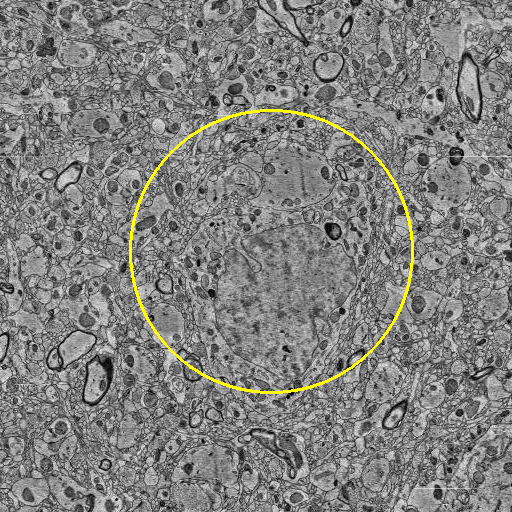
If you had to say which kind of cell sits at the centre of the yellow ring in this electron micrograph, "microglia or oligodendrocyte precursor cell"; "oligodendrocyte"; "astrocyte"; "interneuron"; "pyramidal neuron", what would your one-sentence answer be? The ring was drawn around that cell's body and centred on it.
The cell sitting at the centre of the ring is an interneuron.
